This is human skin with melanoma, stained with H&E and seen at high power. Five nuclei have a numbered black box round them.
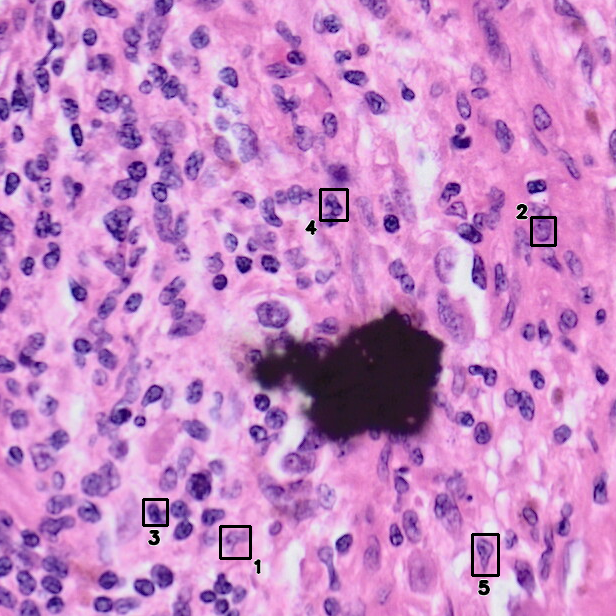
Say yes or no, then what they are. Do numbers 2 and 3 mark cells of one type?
No, cell 2 is an endothelial cell, whereas cell 3, for its part, is a lymphocyte.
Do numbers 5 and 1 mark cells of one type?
Yes, cells 5 and 1 are macrophages or monocytes, the two of them alike.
